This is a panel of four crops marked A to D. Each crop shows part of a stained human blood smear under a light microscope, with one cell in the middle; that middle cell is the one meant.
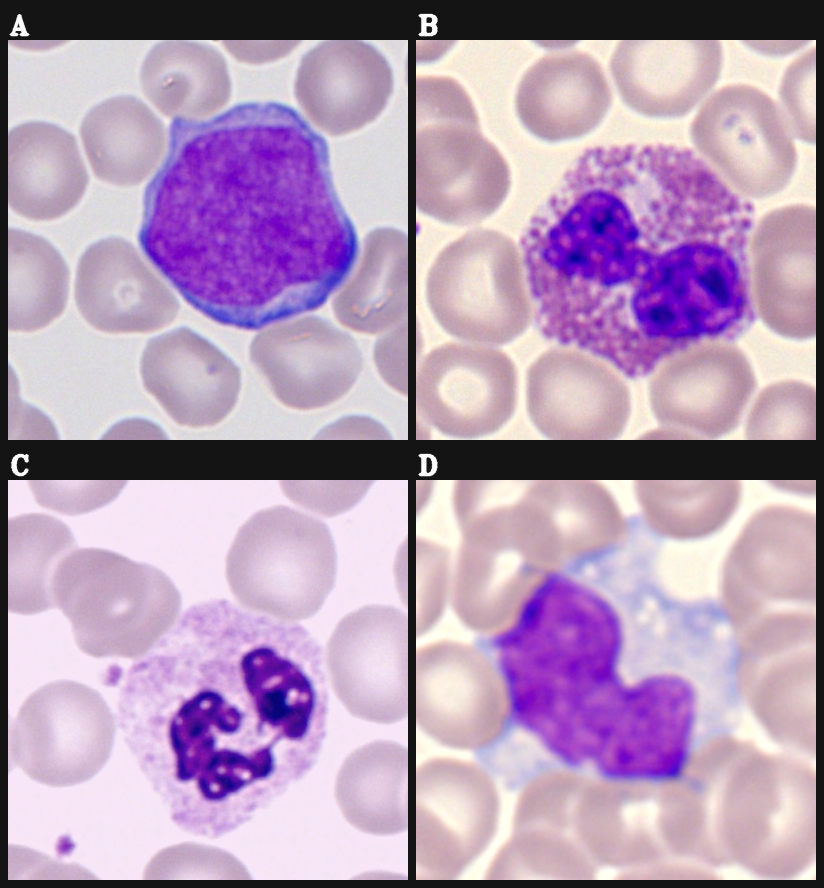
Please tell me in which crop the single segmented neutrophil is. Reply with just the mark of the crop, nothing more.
C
